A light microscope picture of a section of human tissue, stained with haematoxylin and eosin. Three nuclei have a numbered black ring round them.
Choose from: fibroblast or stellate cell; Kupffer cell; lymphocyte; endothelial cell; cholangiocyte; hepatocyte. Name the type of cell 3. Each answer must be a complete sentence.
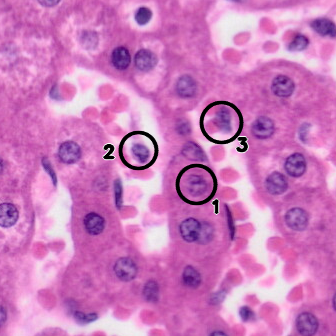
The cell identified by number 3 is an endothelial cell.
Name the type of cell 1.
The correct answer for cell 1 is a hepatocyte.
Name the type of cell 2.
Regarding cell 2, this one is a lymphocyte.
